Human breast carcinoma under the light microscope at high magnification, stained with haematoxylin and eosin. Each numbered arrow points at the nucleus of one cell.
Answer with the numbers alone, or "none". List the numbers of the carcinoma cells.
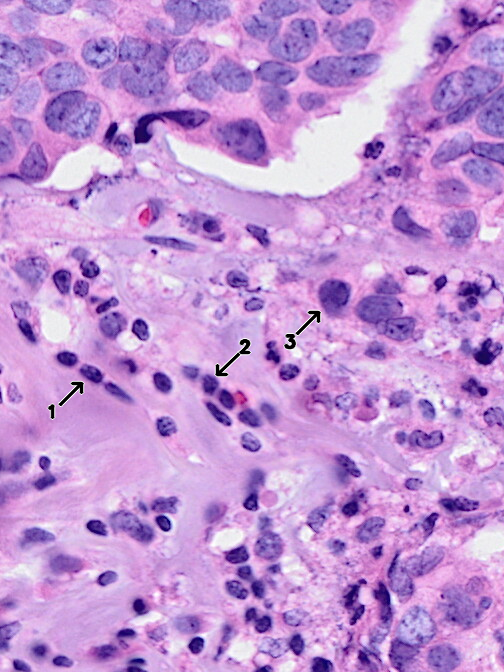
3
